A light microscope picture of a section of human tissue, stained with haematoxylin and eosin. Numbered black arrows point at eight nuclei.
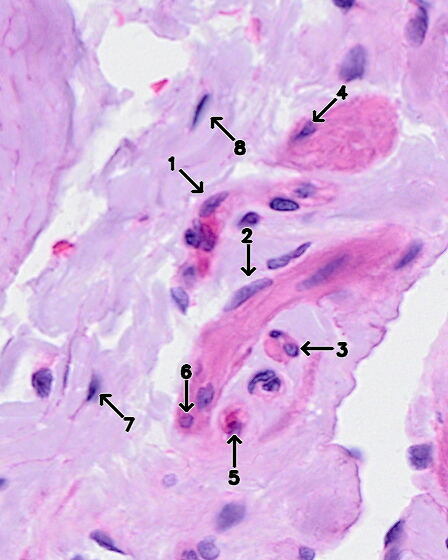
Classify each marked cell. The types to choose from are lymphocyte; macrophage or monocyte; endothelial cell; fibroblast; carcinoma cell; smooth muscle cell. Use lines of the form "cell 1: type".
cell 1: endothelial cell
cell 2: smooth muscle cell
cell 3: smooth muscle cell
cell 4: smooth muscle cell
cell 5: endothelial cell
cell 6: smooth muscle cell
cell 7: fibroblast
cell 8: fibroblast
